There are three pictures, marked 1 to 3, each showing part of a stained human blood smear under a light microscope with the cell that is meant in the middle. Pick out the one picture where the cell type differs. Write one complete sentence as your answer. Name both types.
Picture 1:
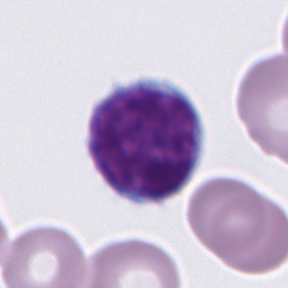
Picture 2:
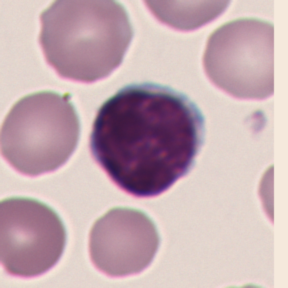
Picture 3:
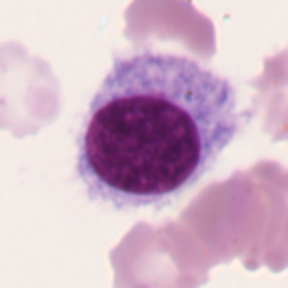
Picture 3 differs, because its cell is a hairy cell and the rest are typical lymphocytes.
